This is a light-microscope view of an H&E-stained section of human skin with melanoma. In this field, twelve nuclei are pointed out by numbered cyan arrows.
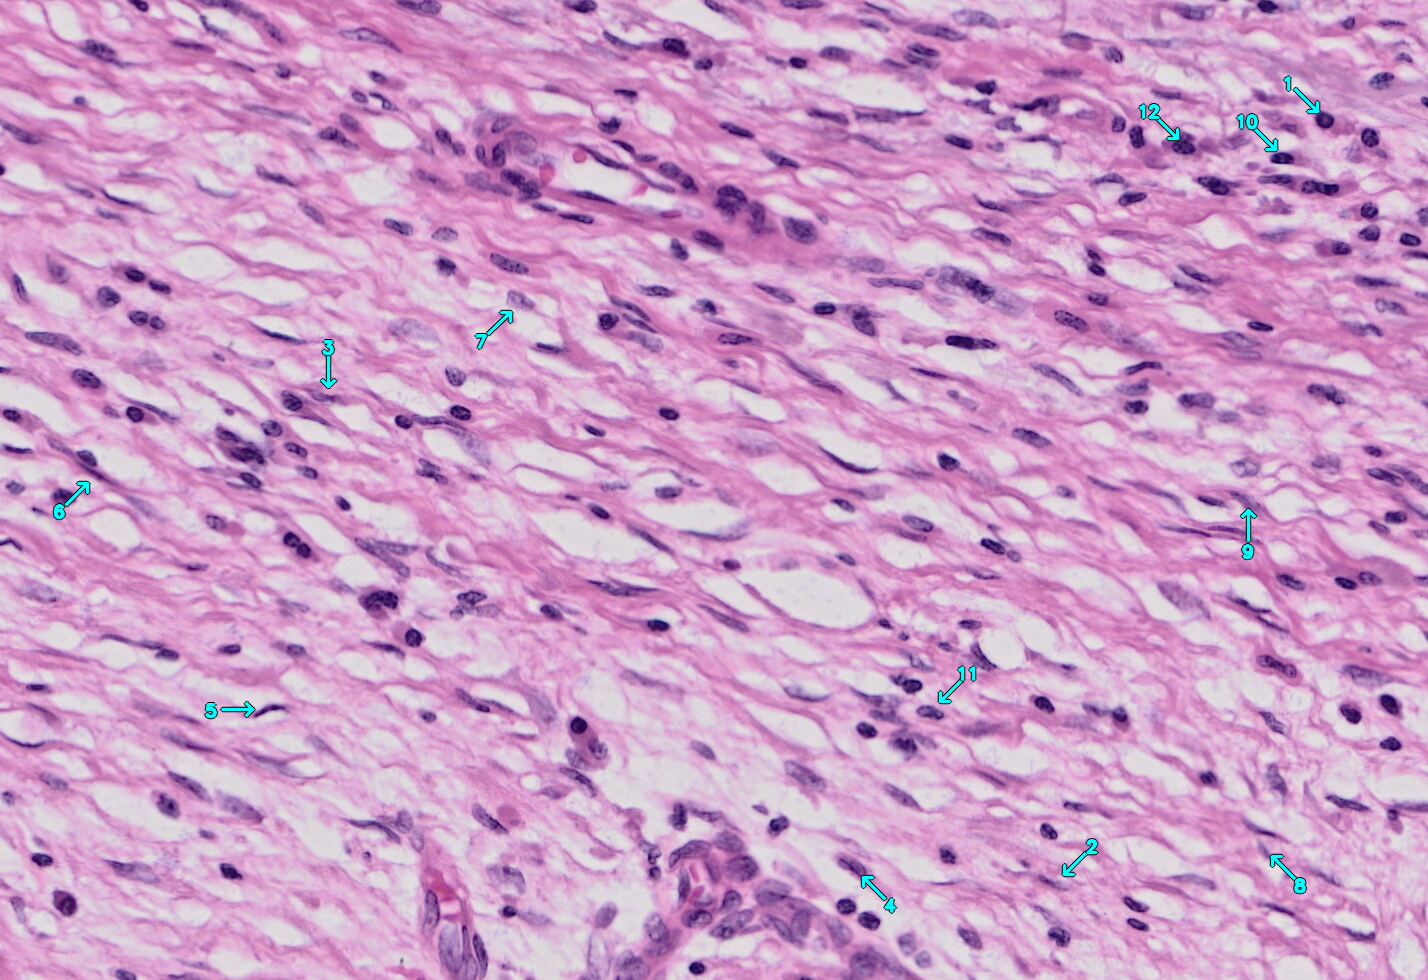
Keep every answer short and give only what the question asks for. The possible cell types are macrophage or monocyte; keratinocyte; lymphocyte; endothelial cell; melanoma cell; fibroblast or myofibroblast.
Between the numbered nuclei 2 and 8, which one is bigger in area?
2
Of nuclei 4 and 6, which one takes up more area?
4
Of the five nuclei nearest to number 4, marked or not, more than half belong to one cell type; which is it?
fibroblast or myofibroblast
